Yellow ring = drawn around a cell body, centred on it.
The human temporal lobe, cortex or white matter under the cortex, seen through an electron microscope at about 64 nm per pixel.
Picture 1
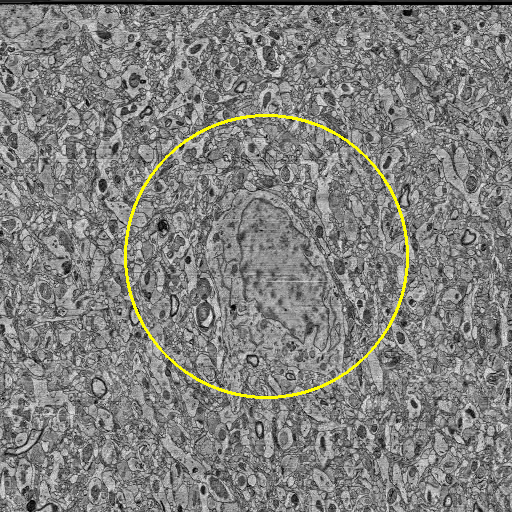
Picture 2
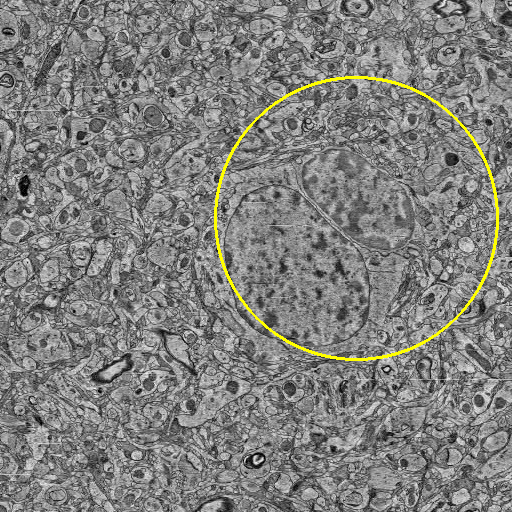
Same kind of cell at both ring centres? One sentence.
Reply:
No, they are two kinds of cell.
